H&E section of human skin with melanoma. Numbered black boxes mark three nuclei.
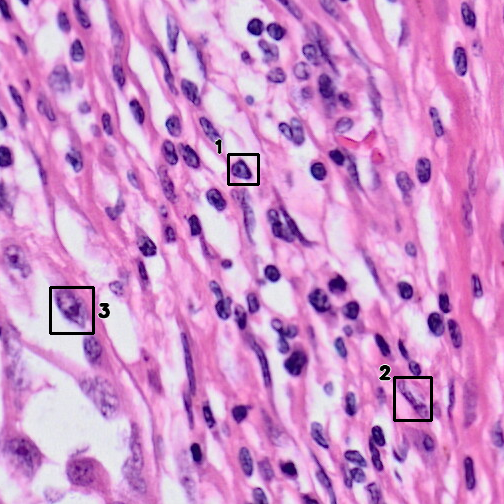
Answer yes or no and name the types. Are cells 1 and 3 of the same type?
No, cell 1 is a lymphocyte and cell 3 is a melanoma cell.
